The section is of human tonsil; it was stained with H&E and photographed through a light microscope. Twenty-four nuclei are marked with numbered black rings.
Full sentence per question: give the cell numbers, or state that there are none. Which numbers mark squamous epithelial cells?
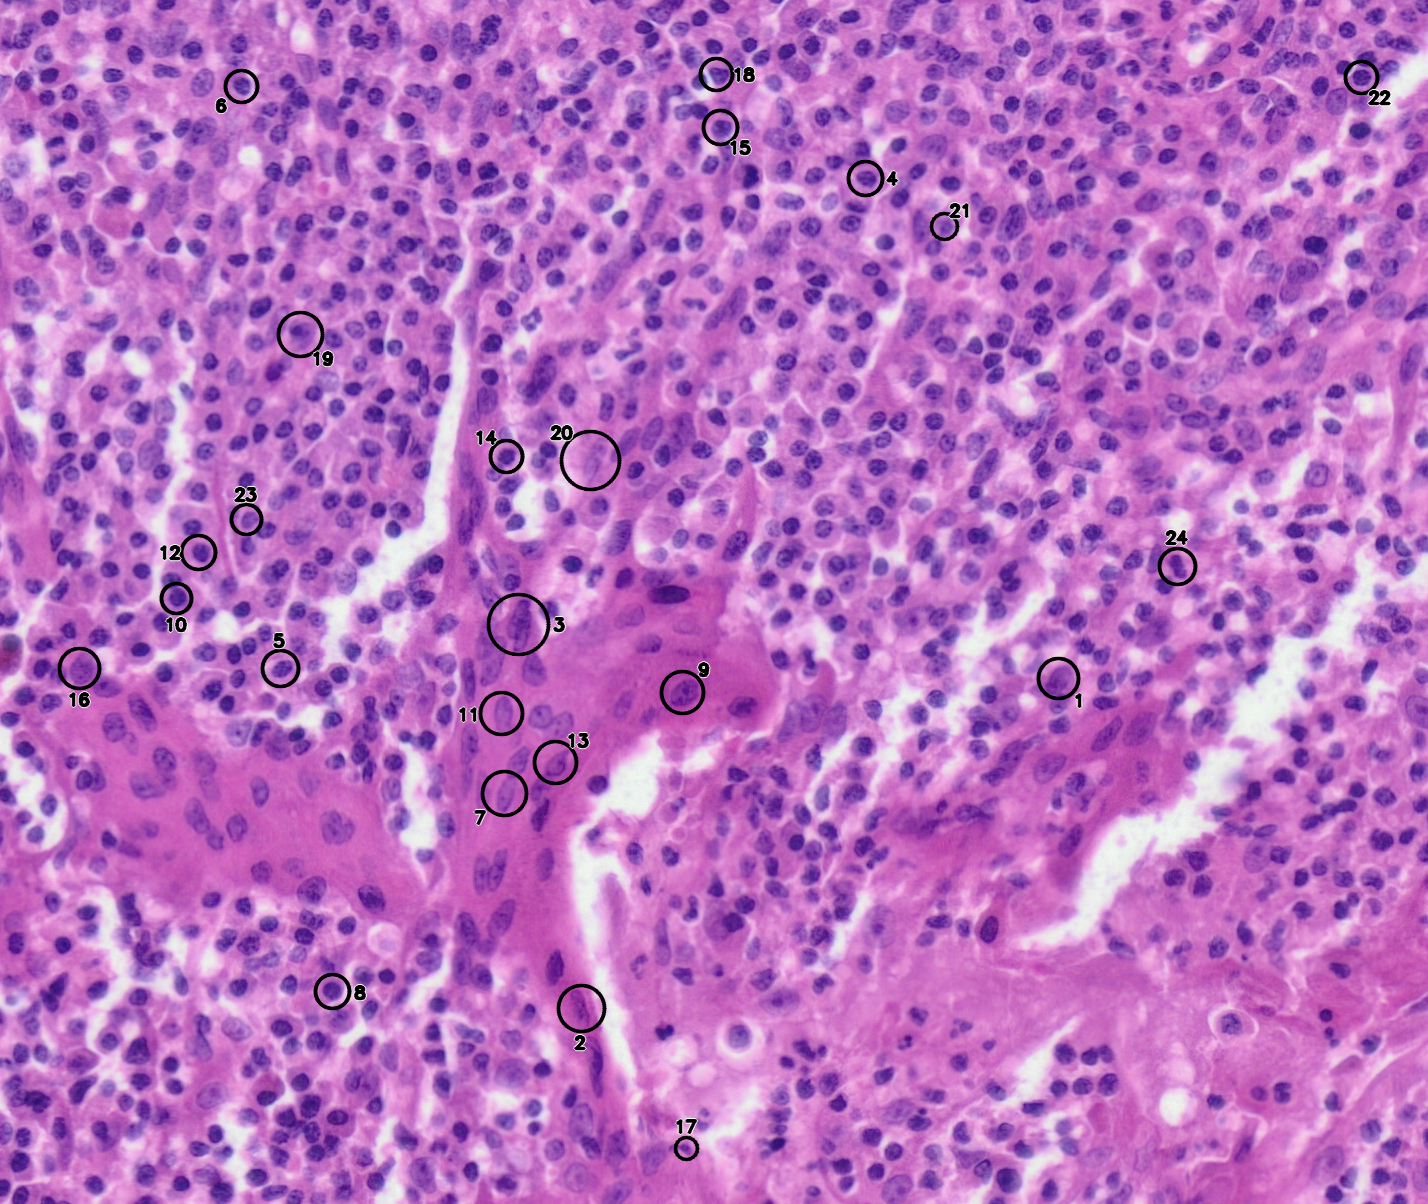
The cells carrying labels 1, 2, 3, 7, 9, 11, 13, 16, 17, 19, 20 and 24 are squamous epithelial cells.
